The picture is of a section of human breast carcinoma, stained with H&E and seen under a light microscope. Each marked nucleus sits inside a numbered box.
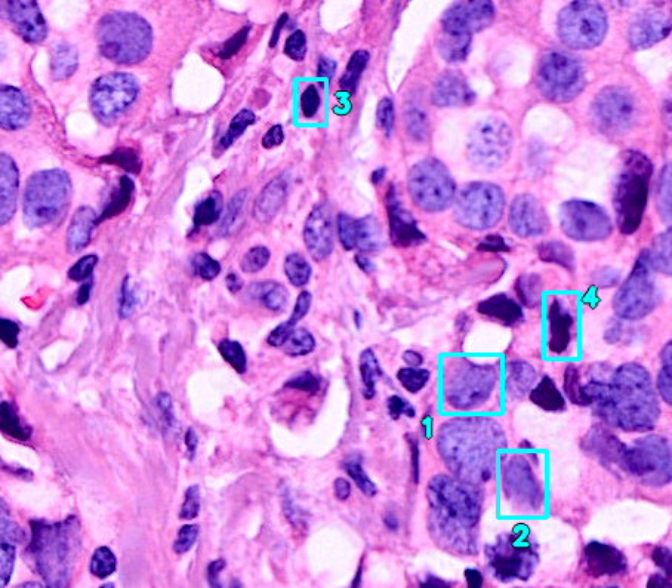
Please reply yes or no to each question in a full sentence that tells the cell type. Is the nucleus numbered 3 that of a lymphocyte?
Yes, the numbered cell 3 is identified as a lymphocyte.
